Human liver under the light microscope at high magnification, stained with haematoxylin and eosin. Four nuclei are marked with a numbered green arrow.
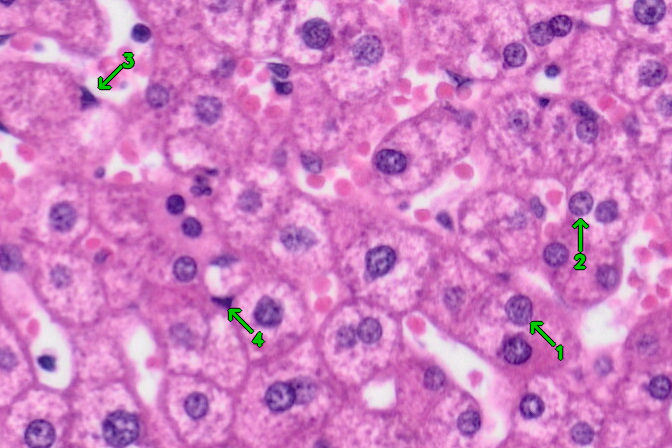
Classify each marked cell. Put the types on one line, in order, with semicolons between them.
hepatocyte; hepatocyte; fibroblast or stellate cell; fibroblast or stellate cell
